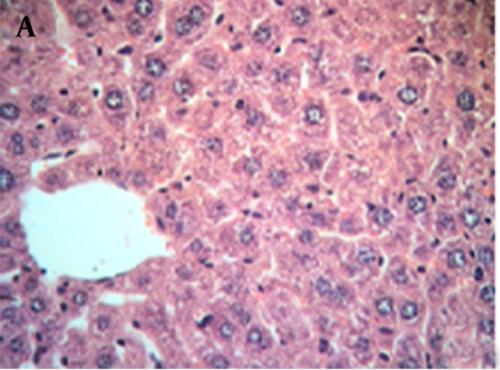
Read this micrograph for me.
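This field of liver shows hepatic parenchyma made up of hepatocytes arranged in cords around a clear vessel lumen at the left. The hepatocytes are large, polygonal cells with abundant pink, finely granular cytoplasm and a single round, centrally placed nucleus with a dark-purple rim and a visible nucleolus. Narrow pale spaces between the cords mark the sinusoids, and small dark, flattened nuclei lie along them.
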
